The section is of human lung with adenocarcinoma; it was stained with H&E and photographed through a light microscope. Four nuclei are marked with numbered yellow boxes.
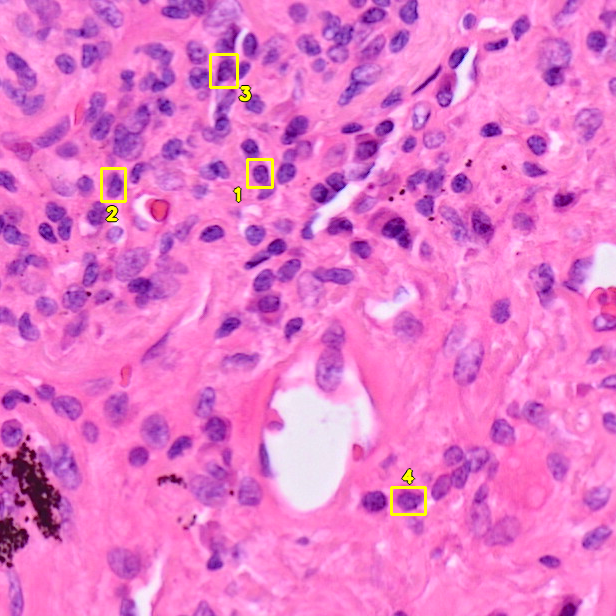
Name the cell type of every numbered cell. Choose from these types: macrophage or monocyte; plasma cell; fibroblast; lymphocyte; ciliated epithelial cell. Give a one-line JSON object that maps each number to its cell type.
{"1": "lymphocyte", "2": "lymphocyte", "3": "lymphocyte", "4": "plasma cell"}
